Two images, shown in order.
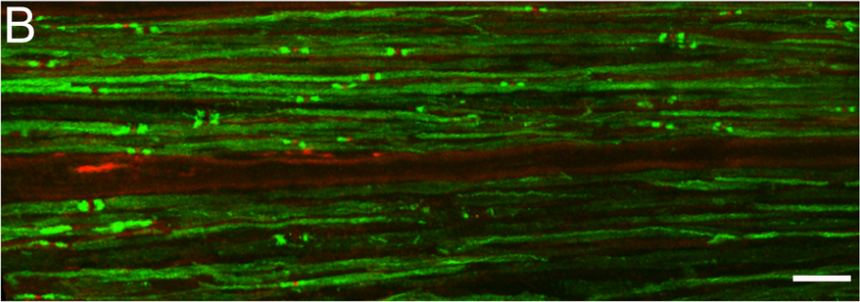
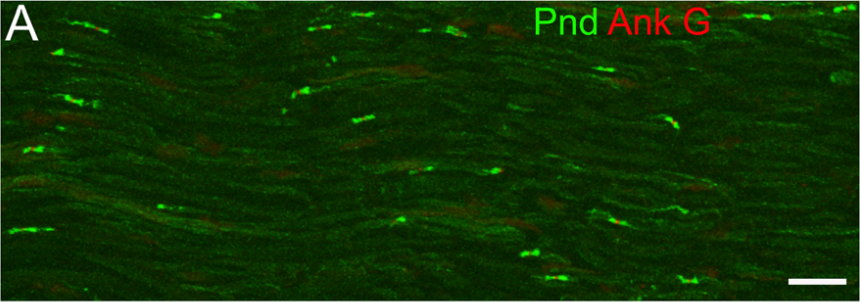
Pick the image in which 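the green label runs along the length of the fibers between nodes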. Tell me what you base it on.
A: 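First image: many long continuous green lines follow the fibers. Second image: green label is confined to short separated segments, the fibers between them mostly dark. The answer: the first image.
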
